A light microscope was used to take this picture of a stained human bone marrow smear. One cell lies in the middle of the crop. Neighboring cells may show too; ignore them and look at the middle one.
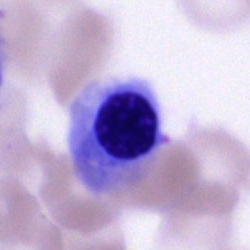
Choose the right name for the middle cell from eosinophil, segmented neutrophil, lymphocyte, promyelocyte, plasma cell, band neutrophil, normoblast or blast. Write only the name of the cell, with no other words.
normoblast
